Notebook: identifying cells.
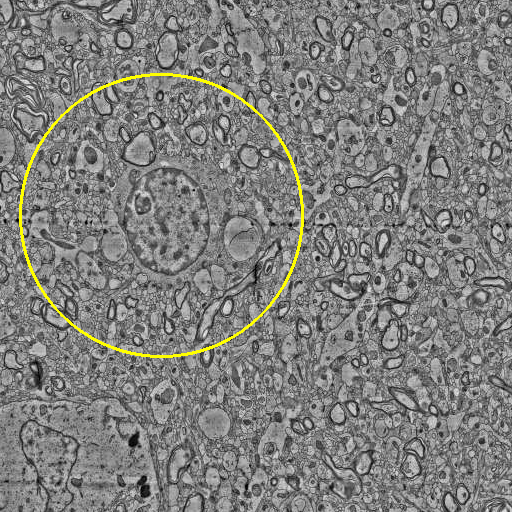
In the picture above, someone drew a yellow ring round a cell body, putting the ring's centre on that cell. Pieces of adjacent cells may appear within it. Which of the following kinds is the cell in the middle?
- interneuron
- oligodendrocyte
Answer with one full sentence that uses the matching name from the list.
In this picture, the yellow ring is centred on the body of an oligodendrocyte.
